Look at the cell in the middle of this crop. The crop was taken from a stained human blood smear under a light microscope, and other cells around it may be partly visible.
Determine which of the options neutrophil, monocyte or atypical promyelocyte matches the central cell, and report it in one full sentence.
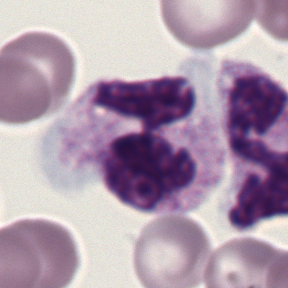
At the crop's centre, the cell is a neutrophil.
